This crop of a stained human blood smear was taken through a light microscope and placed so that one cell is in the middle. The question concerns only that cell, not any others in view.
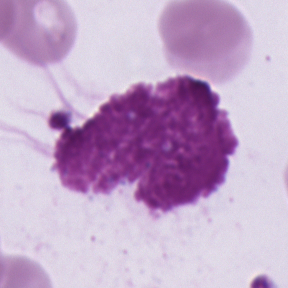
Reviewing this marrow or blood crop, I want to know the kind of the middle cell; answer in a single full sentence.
Framed in the middle of the crop is a smudge cell.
